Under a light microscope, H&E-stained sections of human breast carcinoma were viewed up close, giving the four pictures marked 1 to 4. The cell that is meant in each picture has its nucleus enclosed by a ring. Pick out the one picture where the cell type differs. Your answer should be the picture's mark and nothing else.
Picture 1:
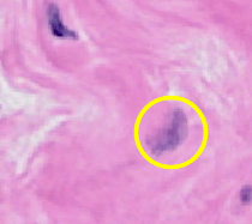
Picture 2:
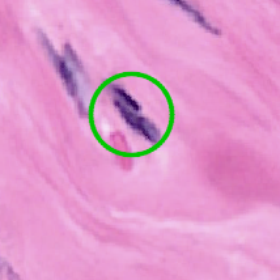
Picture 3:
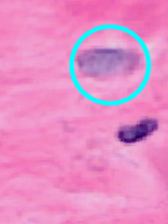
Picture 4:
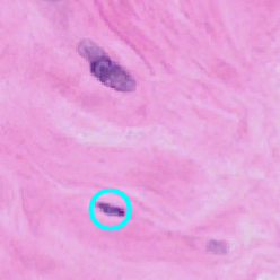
2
